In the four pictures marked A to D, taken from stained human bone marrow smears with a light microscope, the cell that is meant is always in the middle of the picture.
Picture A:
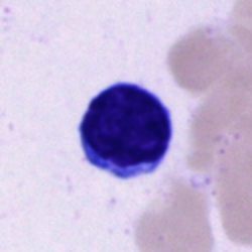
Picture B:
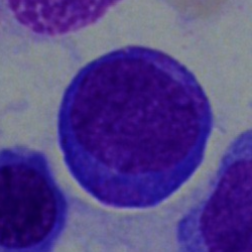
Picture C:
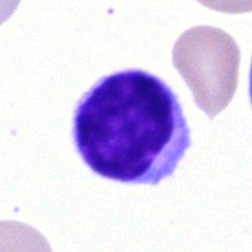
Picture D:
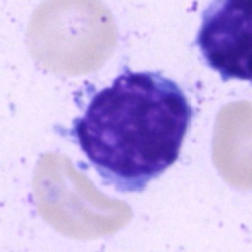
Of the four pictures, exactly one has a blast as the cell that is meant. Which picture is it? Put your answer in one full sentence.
The picture with the blast is B.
